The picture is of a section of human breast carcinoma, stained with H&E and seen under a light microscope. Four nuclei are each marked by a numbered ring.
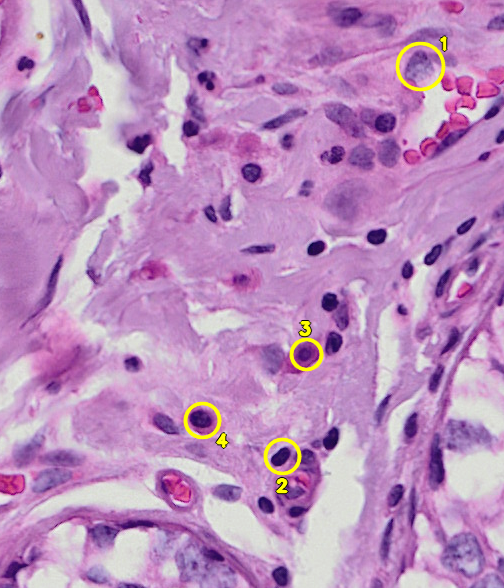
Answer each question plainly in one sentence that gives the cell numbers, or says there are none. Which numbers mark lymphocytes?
Only cell 2 should be marked as a lymphocyte.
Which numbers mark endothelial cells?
Cell 1 is an endothelial cell, while every other numbered cell is not.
